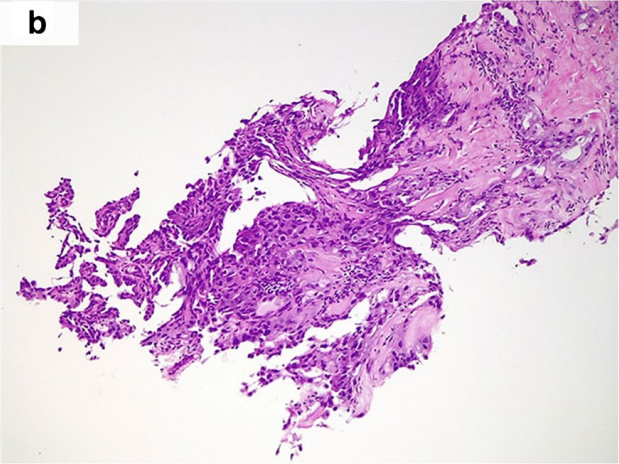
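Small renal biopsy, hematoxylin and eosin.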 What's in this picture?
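The tumour cells have pink cytoplasm and enlarged, dark-purple nuclei. They are embedded in a fibrous stroma of pink collagenous bands that holds scattered spindle-shaped nuclei.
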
